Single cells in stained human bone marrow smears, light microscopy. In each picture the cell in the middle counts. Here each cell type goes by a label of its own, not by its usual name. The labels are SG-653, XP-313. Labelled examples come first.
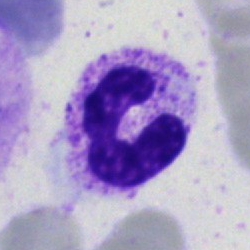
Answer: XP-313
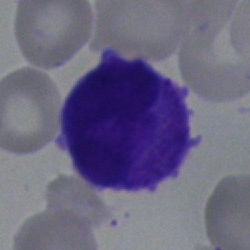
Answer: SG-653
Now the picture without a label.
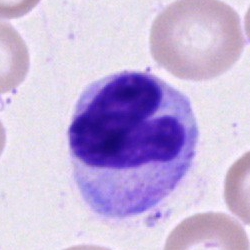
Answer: XP-313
